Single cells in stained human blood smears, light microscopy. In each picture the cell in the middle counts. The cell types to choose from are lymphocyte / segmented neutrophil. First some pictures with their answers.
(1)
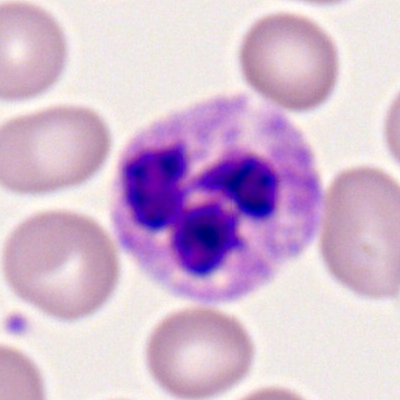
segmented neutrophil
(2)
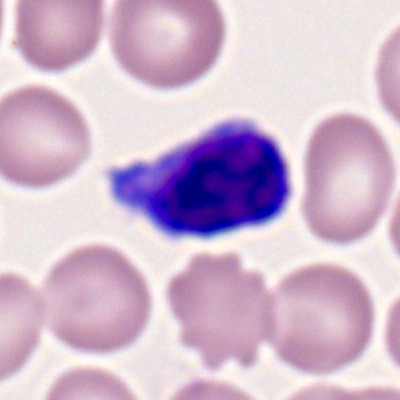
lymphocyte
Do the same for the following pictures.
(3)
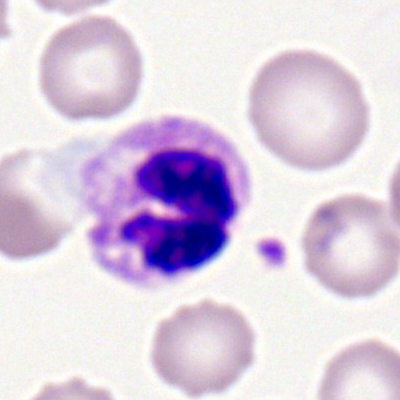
segmented neutrophil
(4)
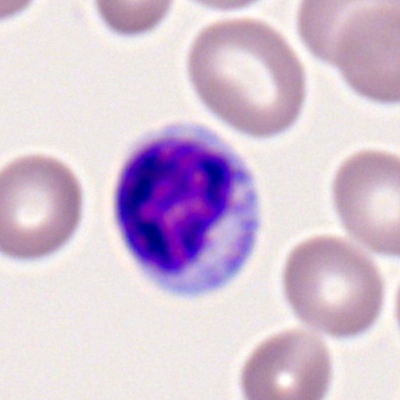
lymphocyte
